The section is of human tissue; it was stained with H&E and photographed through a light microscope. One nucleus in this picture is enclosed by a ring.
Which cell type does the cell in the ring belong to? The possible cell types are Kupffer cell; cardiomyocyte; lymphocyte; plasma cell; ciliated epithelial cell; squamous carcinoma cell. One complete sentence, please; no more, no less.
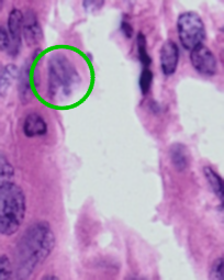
The correct response here is that the cell in the ring is a squamous carcinoma cell.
